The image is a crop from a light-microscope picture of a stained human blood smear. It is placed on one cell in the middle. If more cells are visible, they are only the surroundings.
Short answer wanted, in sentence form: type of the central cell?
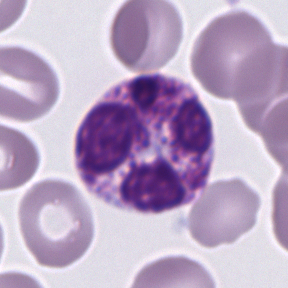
The central cell shown in this smear crop is a basophil.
